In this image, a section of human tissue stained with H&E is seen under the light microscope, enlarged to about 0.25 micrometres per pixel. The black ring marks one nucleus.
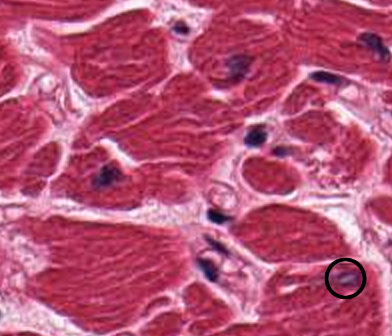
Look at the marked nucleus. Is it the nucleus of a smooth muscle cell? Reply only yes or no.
no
